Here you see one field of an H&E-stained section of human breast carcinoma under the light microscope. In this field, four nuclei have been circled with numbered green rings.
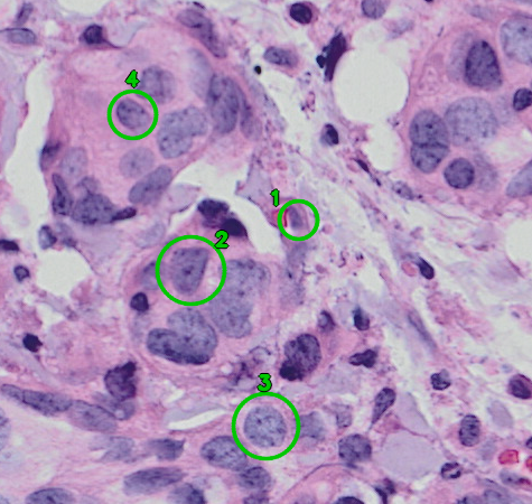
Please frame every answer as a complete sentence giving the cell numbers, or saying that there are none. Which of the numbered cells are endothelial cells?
Only at number 1 is there an endothelial cell among the marked cells.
